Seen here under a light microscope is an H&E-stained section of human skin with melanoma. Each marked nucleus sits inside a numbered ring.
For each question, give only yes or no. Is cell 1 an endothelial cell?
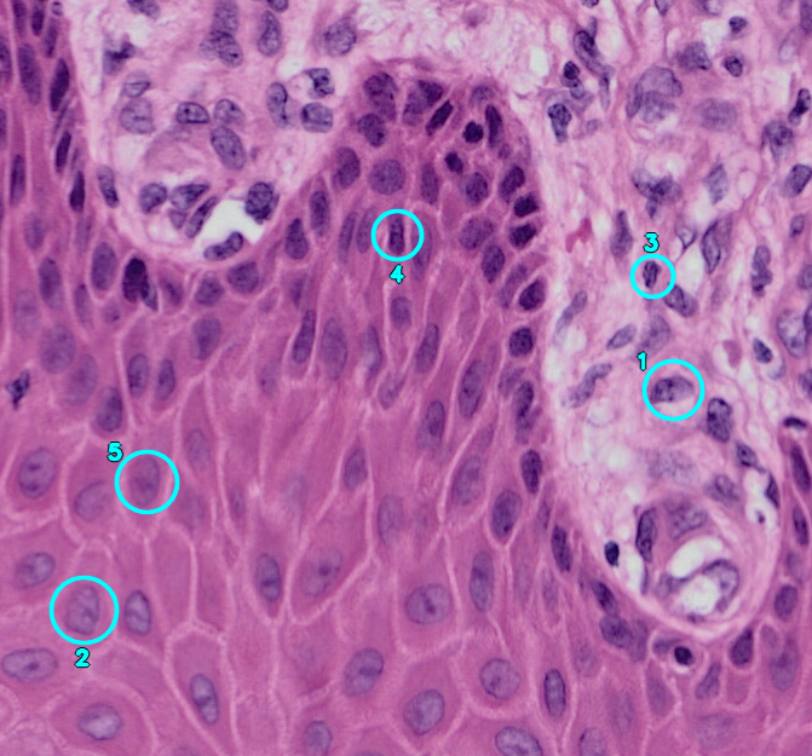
yes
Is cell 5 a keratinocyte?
yes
